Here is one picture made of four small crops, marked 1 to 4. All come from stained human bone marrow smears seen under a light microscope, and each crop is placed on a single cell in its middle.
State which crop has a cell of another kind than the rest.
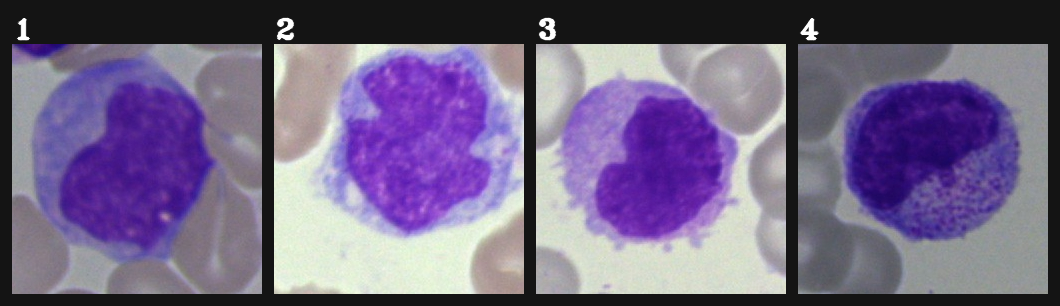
4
